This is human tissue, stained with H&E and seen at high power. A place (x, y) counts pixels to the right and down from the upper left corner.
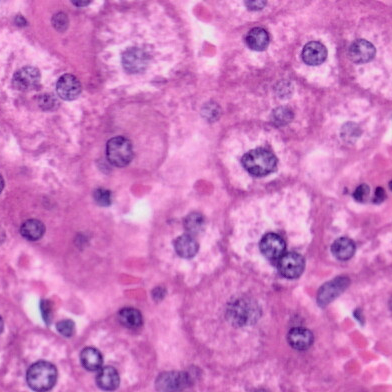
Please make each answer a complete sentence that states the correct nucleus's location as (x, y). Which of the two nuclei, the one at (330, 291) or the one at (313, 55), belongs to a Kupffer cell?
Located at (330, 291), this nucleus is the one belonging to a Kupffer cell.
